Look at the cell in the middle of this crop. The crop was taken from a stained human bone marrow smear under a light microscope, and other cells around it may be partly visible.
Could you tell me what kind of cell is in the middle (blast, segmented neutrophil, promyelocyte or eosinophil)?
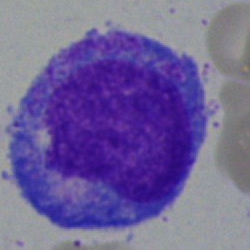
promyelocyte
